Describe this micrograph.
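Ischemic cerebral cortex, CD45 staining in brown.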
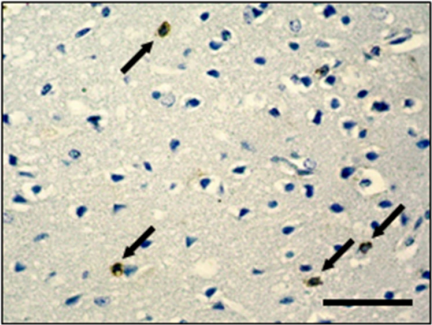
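The blue nuclei vary in shape from round to elongated and lie in a pale, finely textured neuropil. Some of them are surrounded by clear spaces.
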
